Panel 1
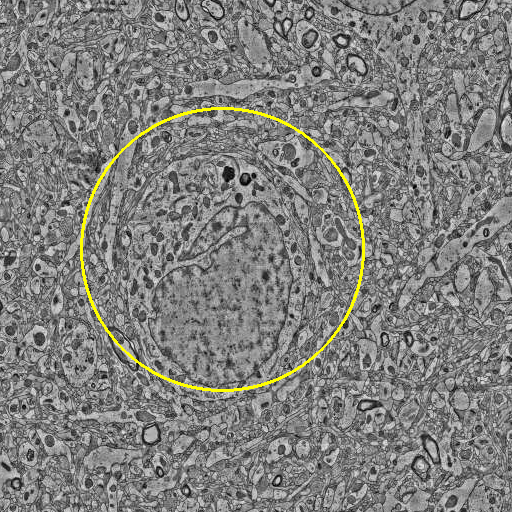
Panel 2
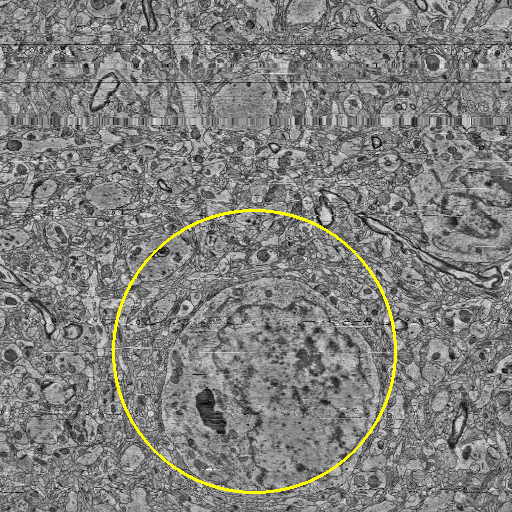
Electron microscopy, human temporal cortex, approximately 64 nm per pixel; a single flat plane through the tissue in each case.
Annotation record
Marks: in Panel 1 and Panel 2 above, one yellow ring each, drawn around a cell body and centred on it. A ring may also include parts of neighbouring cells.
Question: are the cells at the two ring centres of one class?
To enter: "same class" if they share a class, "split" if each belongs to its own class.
same class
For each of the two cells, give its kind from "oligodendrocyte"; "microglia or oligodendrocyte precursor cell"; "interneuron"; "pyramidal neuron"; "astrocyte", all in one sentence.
Each of the ringed cells, first and second, is an interneuron.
